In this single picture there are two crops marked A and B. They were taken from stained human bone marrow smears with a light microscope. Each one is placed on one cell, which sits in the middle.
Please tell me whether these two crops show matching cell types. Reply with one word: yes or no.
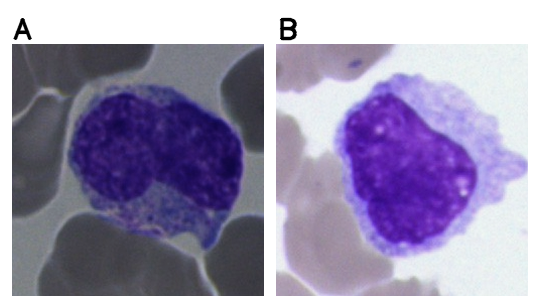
yes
